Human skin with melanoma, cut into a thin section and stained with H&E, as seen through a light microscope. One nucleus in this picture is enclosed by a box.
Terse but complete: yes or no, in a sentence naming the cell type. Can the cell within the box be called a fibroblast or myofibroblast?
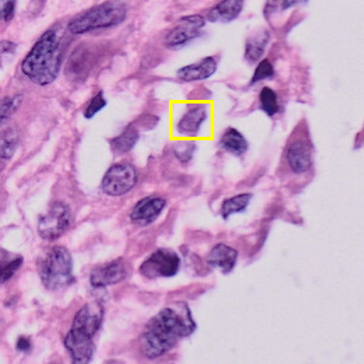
No, put down a melanoma cell for the cell within the box, not a fibroblast or myofibroblast.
